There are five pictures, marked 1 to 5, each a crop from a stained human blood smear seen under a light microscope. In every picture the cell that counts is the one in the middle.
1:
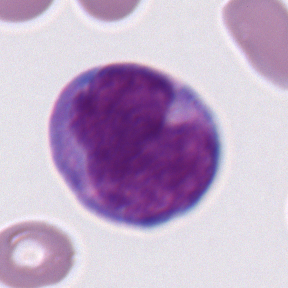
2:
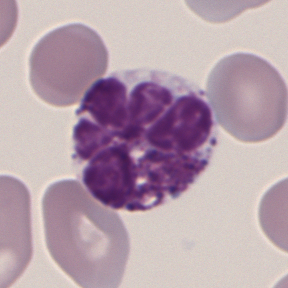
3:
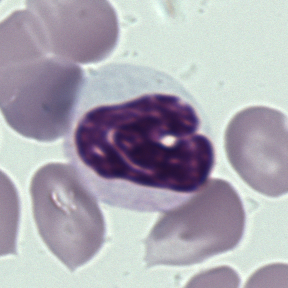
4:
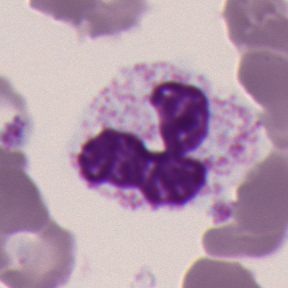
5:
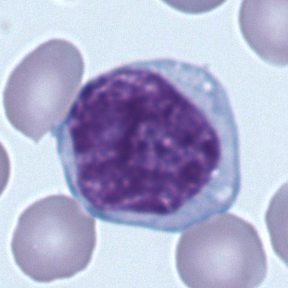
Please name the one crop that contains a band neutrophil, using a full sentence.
The one crop that shows a band neutrophil is crop 3.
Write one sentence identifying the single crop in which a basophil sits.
The one showing a basophil is the crop labelled 2.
